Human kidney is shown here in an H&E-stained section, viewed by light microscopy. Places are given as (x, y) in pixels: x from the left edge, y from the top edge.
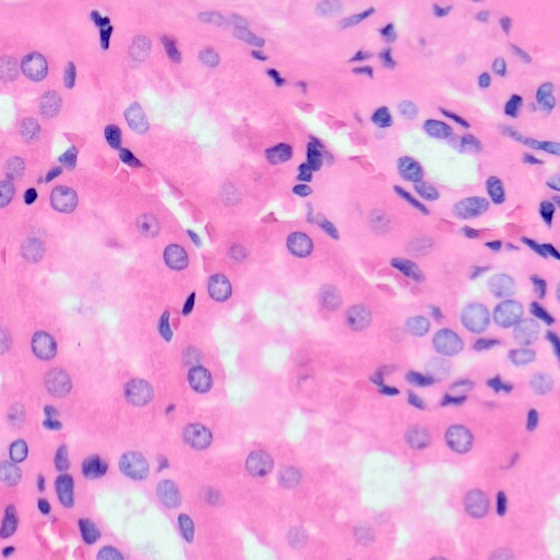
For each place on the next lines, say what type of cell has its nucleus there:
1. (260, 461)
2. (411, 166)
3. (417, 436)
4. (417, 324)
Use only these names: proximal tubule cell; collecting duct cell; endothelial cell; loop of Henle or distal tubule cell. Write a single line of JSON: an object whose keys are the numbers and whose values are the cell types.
{"1": "proximal tubule cell", "2": "collecting duct cell", "3": "proximal tubule cell", "4": "collecting duct cell"}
